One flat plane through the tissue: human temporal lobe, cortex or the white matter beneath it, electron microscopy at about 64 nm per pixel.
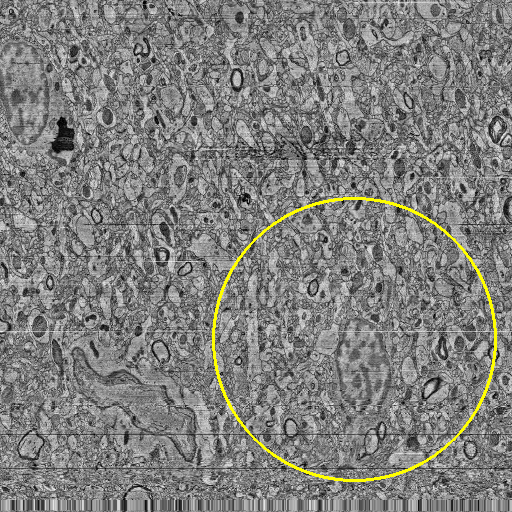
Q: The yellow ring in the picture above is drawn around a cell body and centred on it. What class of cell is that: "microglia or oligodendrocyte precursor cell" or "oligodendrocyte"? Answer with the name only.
oligodendrocyte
